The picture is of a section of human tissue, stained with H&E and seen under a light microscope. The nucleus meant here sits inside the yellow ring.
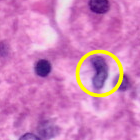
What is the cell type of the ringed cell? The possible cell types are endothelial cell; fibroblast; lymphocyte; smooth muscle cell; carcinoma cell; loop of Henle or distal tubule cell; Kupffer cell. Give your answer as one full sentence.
Assigned to a cell type, the ringed cell is a Kupffer cell.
